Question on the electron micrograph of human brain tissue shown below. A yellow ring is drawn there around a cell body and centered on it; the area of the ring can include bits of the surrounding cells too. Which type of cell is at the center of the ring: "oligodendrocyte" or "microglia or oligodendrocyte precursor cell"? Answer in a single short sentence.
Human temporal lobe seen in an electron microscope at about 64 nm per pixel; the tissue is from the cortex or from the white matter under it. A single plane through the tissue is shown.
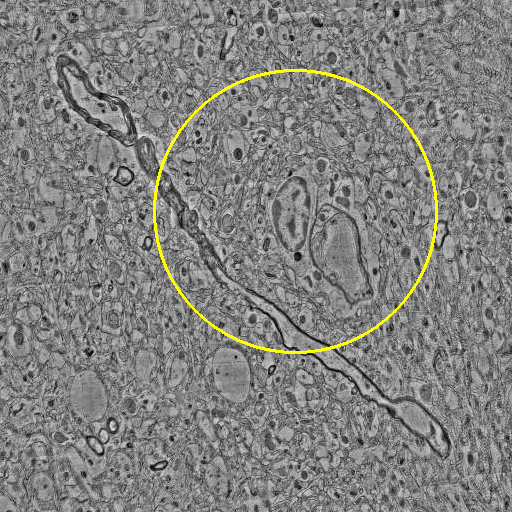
The ring is centered on a microglial cell or oligodendrocyte precursor cell.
